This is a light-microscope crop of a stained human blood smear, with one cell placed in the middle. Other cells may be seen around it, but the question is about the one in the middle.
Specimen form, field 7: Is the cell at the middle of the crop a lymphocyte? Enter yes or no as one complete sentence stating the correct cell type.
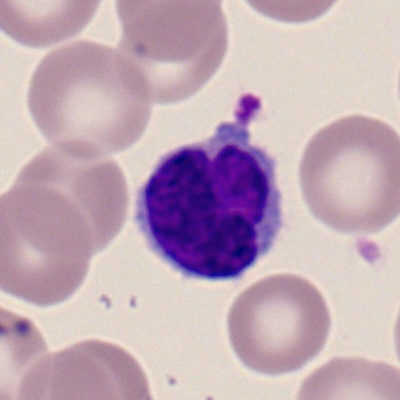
Yes, the centered cell in this field is a lymphocyte.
